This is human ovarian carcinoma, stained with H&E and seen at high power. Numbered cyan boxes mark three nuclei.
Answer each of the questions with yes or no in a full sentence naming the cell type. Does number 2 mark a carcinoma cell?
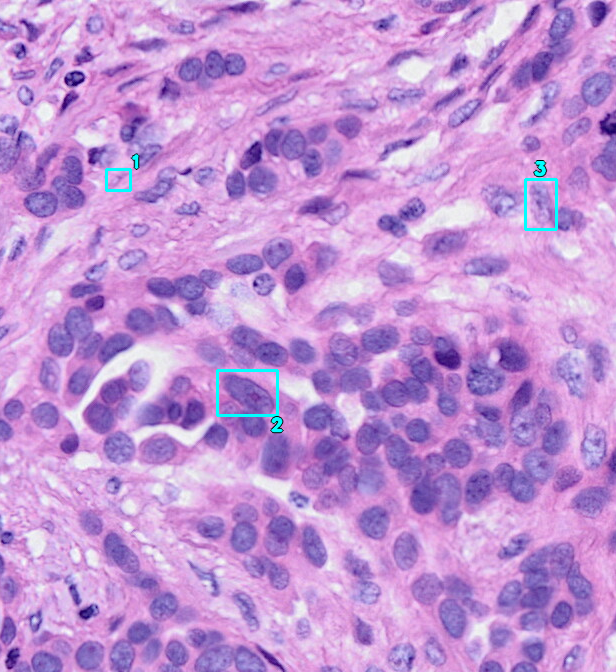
Yes, in the section, number 2 is a carcinoma cell.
